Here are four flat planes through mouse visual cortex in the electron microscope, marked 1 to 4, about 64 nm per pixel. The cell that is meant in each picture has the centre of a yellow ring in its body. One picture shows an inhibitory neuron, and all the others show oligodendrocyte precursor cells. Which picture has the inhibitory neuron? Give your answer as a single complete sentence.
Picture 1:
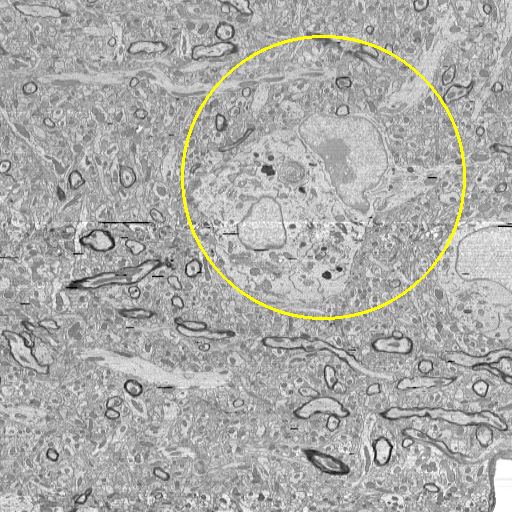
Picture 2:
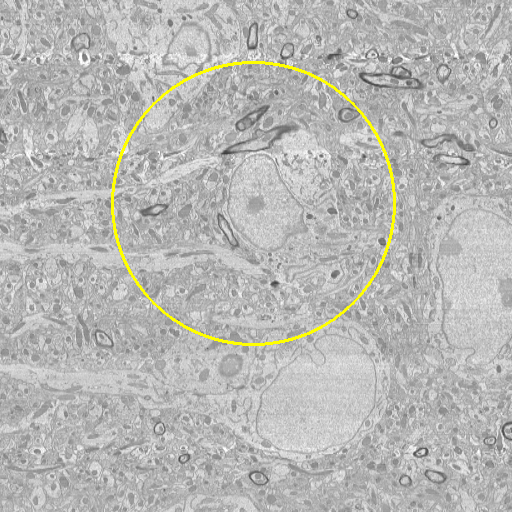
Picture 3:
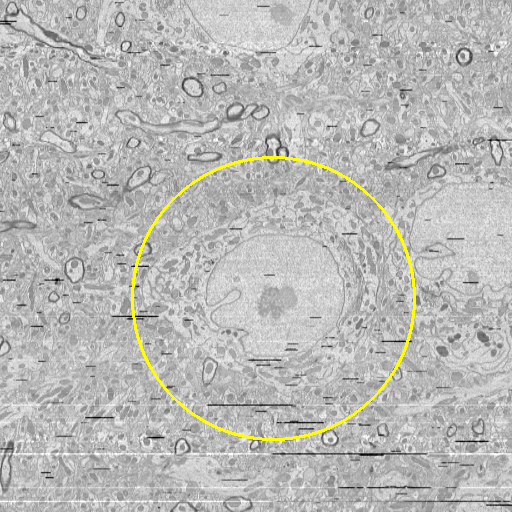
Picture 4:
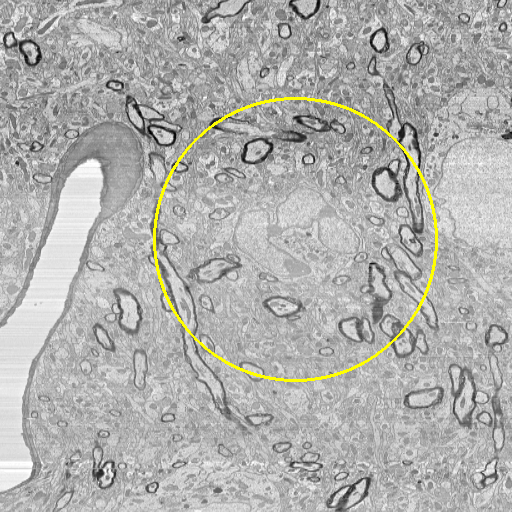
The picture with the inhibitory neuron is 3.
